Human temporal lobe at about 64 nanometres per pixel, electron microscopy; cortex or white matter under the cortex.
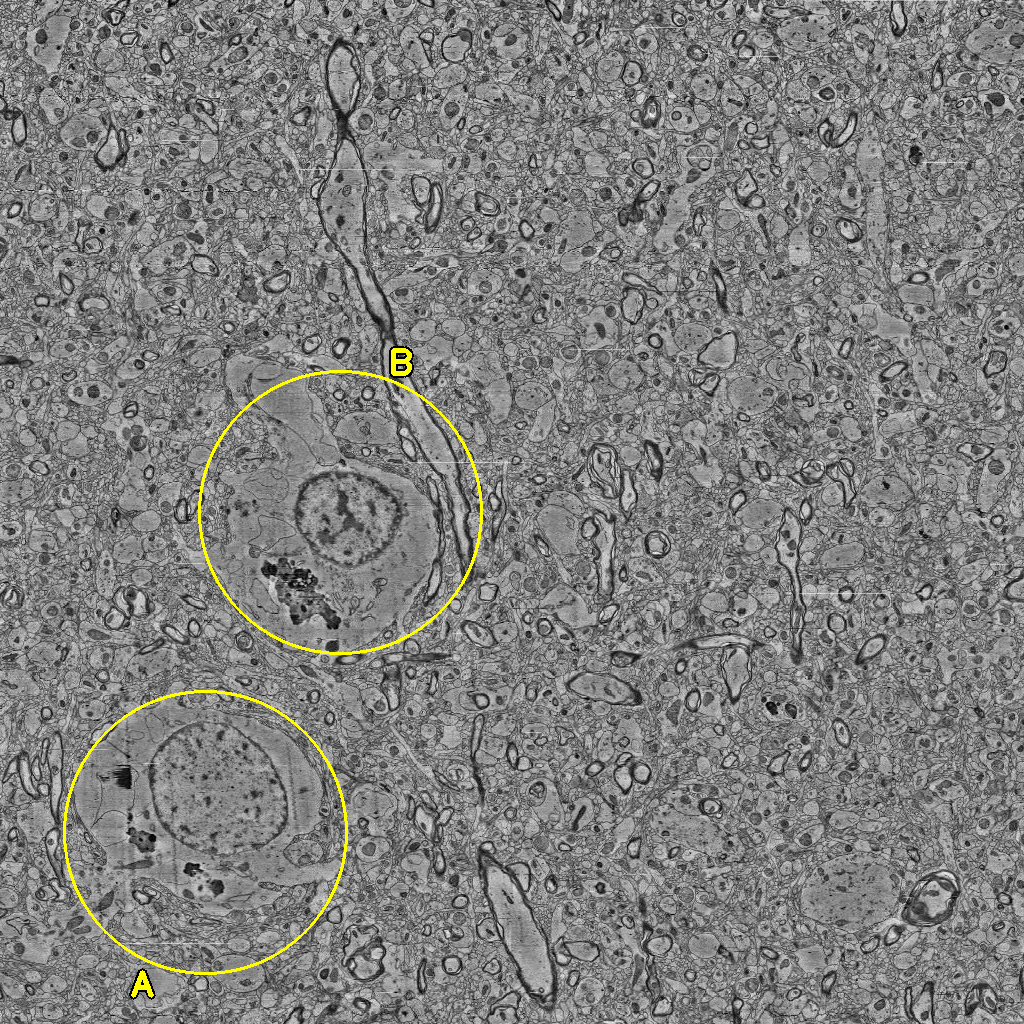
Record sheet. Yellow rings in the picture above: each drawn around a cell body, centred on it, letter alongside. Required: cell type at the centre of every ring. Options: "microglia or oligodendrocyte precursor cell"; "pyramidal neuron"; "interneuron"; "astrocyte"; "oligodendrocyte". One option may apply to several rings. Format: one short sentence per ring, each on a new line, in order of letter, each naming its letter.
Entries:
Ring A contains an astrocyte at the centre.
Ring B contains an astrocyte at the centre.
